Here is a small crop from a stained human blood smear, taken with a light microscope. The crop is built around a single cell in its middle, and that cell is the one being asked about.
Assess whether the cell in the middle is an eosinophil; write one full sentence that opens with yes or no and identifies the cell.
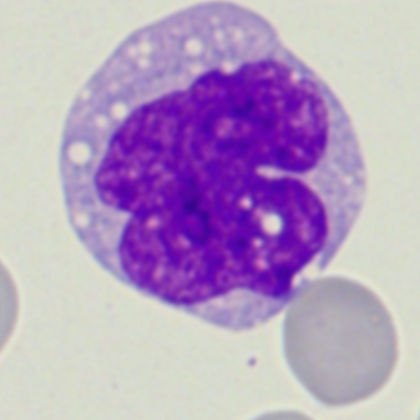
No, the central cell should be identified as a monocyte, not as an eosinophil.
